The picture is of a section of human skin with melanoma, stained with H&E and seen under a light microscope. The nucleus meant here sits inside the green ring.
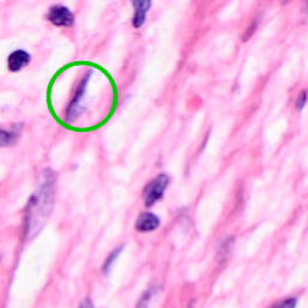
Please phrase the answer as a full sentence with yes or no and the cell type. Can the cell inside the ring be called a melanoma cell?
No, on this slide the cell inside the ring is a fibroblast or myofibroblast, not a melanoma cell.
